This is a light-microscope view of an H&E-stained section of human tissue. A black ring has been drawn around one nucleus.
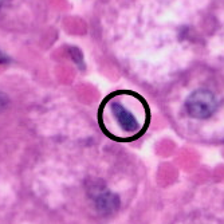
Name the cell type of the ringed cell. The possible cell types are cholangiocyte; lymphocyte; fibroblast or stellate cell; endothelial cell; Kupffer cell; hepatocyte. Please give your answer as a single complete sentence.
The correct response here is that the ringed cell is a lymphocyte.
